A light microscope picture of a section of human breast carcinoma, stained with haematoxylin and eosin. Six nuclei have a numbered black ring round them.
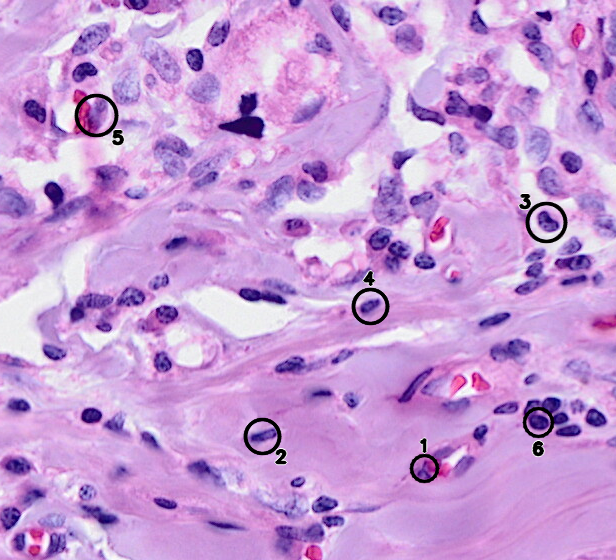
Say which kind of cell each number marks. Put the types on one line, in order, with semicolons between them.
endothelial cell; lymphocyte; lymphocyte; lymphocyte; endothelial cell; lymphocyte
